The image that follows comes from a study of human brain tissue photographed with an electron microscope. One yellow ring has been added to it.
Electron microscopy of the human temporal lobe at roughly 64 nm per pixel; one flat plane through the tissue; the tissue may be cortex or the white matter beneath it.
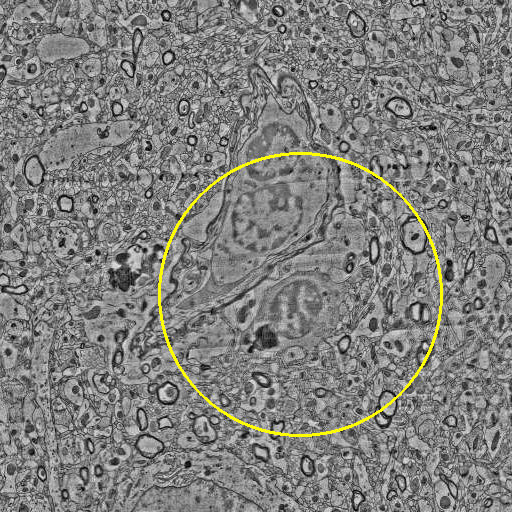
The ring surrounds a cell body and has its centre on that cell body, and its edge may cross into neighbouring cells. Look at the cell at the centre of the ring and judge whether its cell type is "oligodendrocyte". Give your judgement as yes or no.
yes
